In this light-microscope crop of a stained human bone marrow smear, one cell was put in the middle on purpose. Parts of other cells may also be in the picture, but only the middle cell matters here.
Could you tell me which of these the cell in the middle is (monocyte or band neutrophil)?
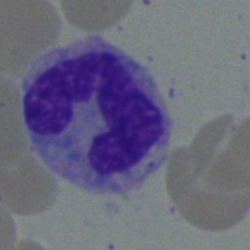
monocyte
